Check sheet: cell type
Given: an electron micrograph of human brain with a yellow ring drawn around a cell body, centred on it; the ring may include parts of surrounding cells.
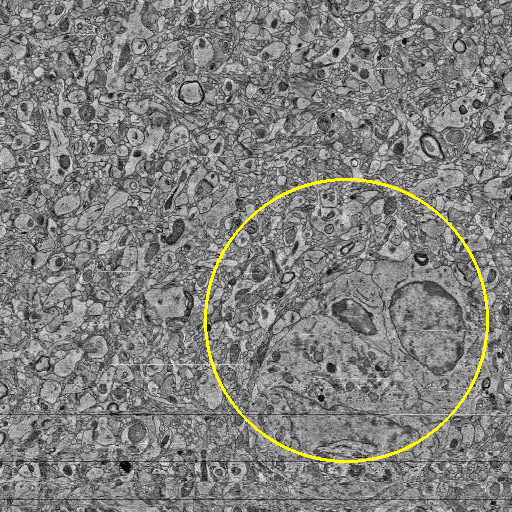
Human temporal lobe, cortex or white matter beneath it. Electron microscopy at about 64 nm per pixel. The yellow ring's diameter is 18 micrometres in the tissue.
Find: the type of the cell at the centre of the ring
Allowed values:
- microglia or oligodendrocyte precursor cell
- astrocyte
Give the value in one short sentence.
Here the ringed cell is a microglial cell or oligodendrocyte precursor cell.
